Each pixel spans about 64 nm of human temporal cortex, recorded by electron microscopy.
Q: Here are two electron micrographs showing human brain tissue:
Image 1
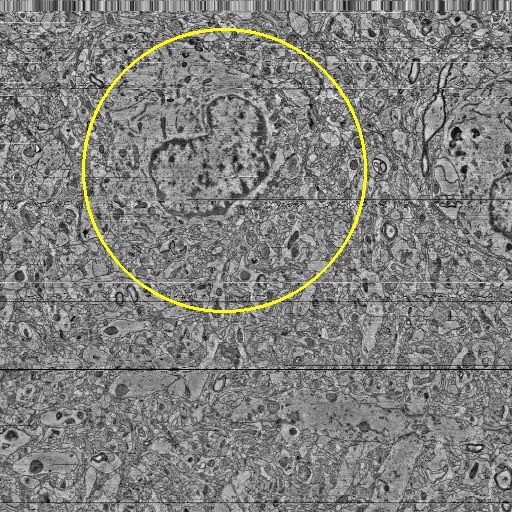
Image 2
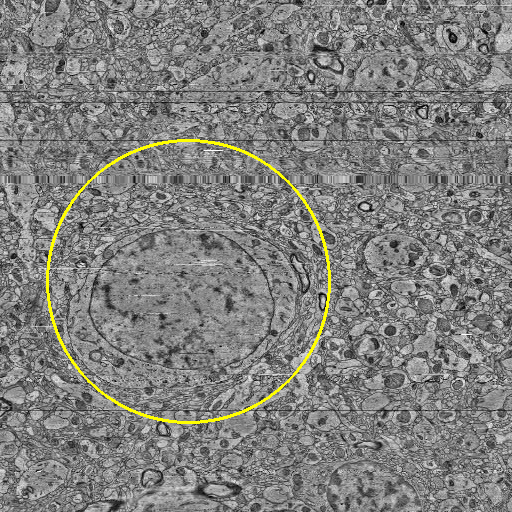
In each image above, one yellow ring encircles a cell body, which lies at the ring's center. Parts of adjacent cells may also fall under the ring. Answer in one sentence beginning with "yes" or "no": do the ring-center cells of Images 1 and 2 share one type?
No, in Images 1 and 2, the ring-center cells are of two types.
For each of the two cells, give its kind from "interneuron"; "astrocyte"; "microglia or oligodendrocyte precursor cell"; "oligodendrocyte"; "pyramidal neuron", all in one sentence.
The first picture has a microglial cell or oligodendrocyte precursor cell in its ring, the second has a pyramidal neuron.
